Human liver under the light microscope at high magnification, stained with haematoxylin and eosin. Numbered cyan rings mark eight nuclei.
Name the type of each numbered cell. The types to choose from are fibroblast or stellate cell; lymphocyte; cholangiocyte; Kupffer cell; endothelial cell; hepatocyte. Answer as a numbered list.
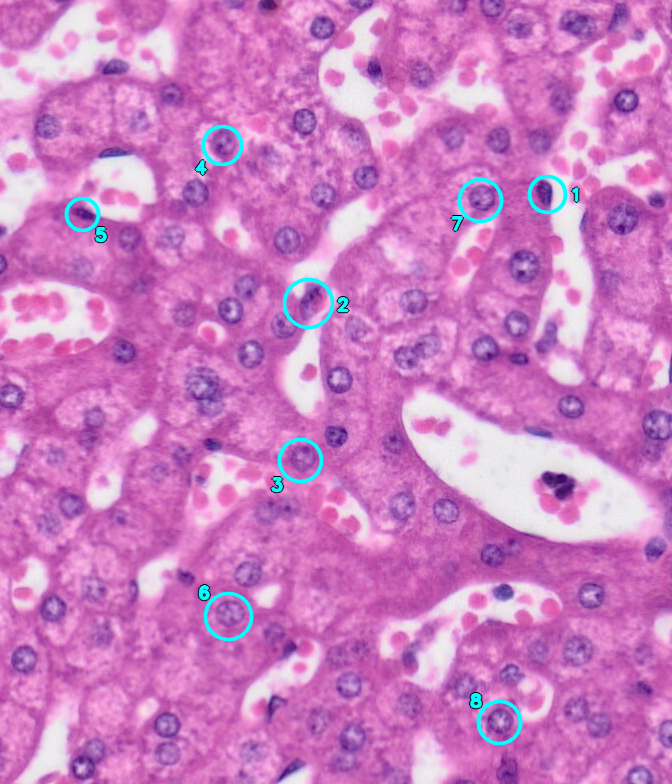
1. fibroblast or stellate cell
2. Kupffer cell
3. hepatocyte
4. hepatocyte
5. fibroblast or stellate cell
6. hepatocyte
7. hepatocyte
8. hepatocyte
